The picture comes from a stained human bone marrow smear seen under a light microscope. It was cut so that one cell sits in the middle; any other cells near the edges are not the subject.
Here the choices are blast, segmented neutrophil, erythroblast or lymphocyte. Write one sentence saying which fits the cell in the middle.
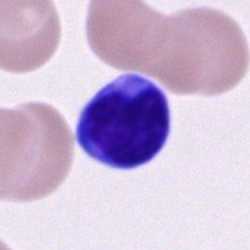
The central cell shown in this smear crop is a lymphocyte.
